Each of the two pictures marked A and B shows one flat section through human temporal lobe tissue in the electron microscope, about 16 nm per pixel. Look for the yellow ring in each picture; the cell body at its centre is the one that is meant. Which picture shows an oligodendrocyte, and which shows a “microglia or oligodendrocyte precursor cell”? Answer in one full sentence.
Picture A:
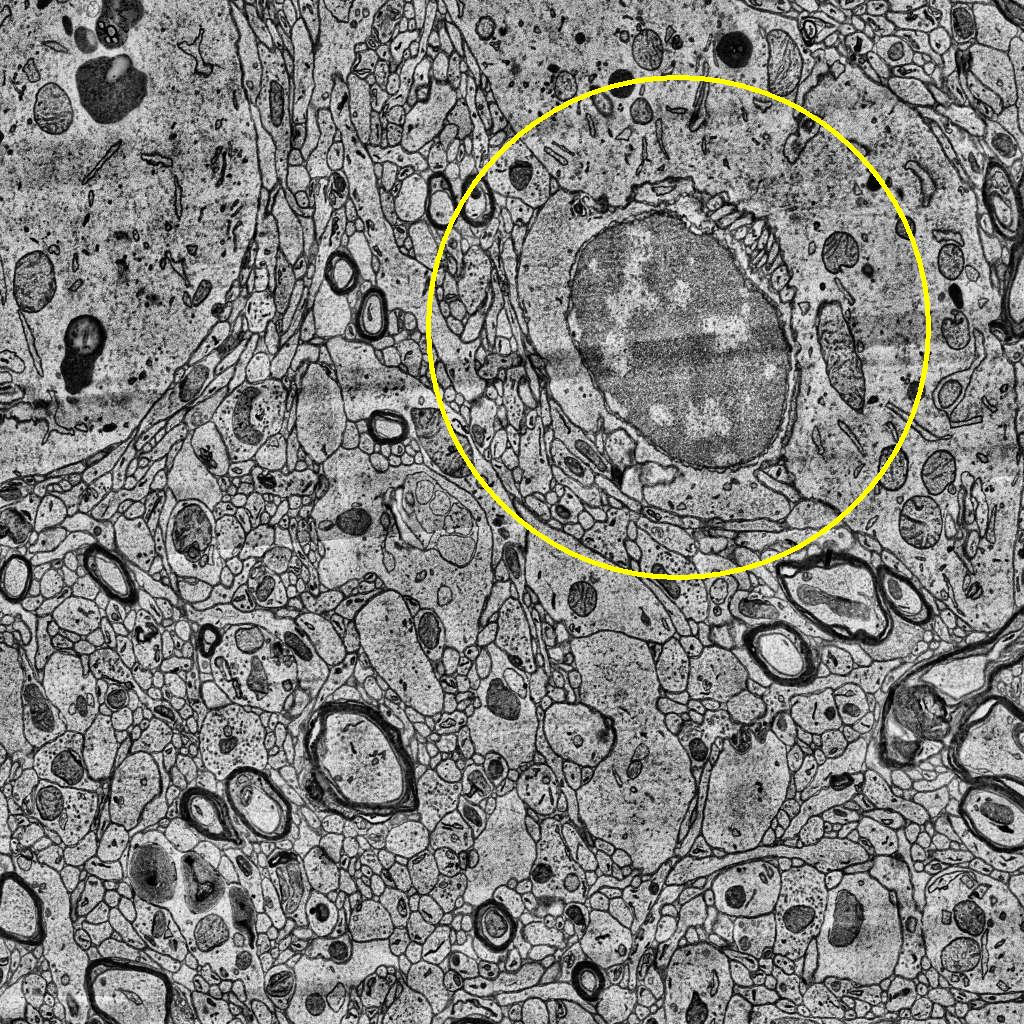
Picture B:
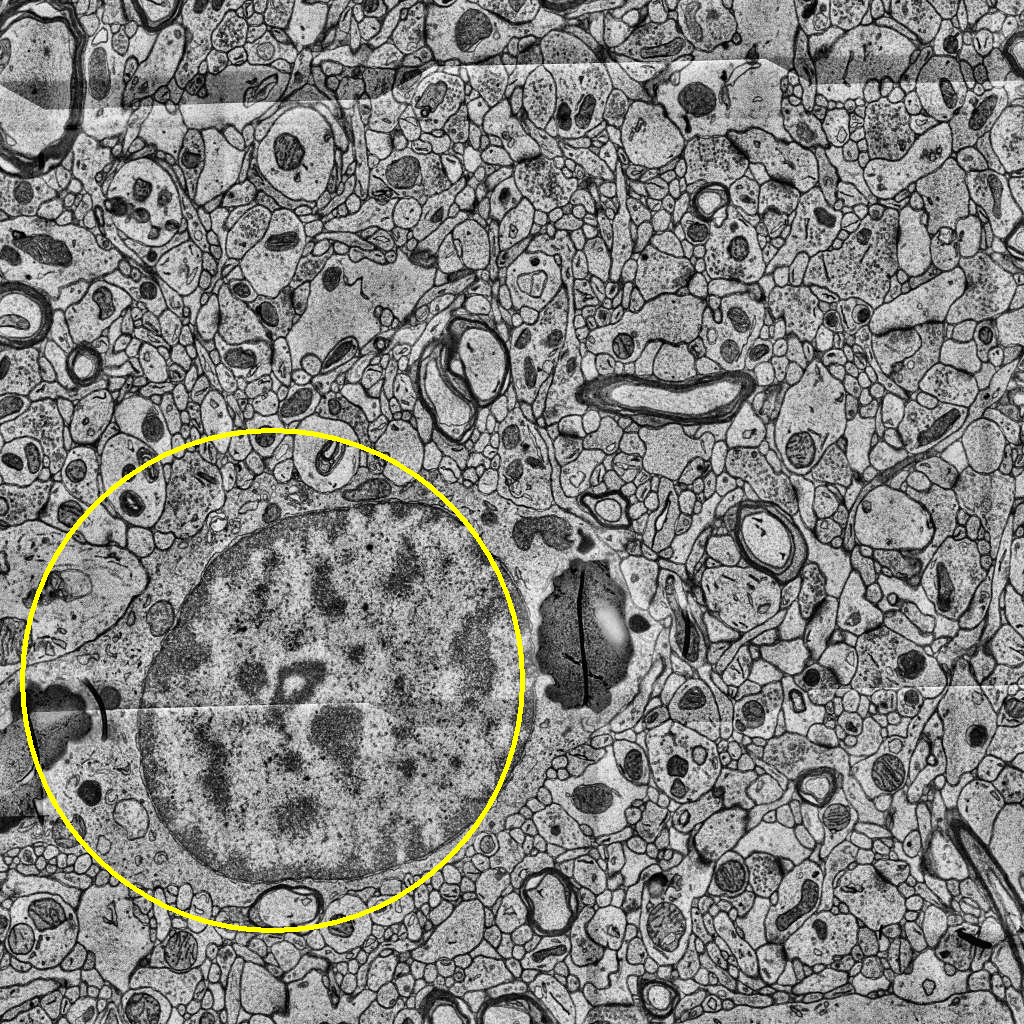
Picture B shows an oligodendrocyte, while picture A shows a “microglia or oligodendrocyte precursor cell”.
